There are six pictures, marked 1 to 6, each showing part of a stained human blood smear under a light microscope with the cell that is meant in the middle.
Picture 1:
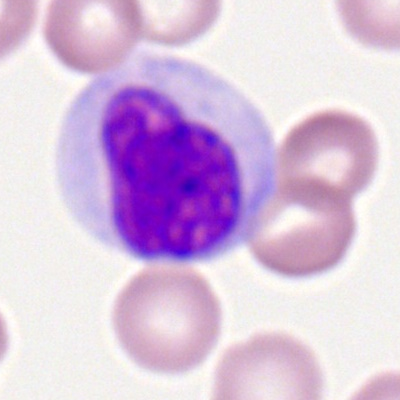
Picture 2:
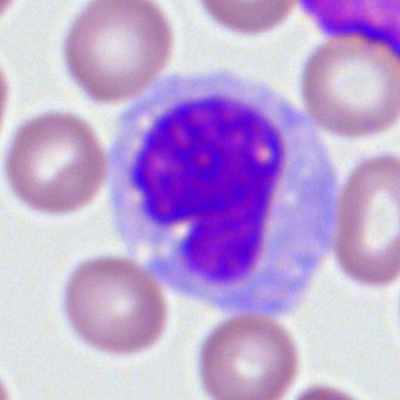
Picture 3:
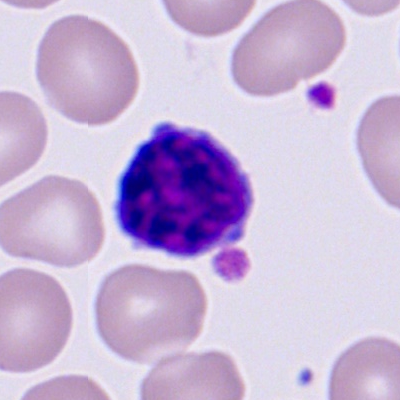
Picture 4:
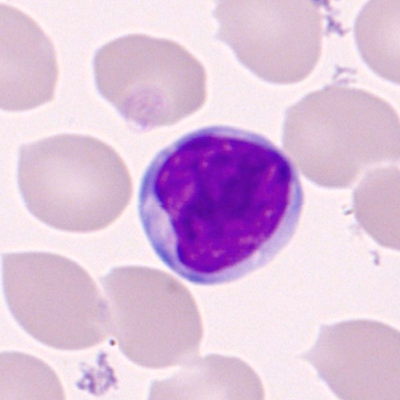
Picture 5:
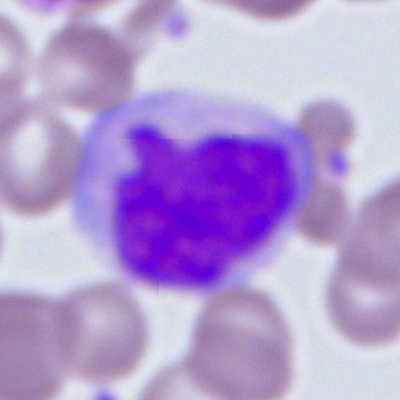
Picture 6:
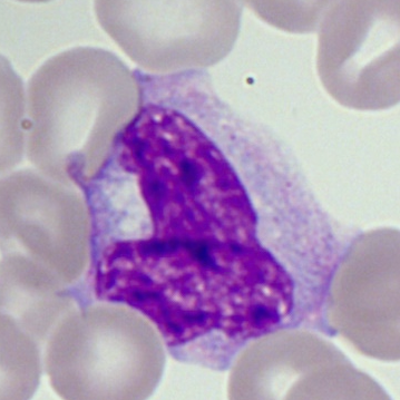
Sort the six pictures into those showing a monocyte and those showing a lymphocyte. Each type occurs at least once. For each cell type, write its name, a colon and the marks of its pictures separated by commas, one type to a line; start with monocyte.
monocyte: 1, 2, 5, 6
lymphocyte: 3, 4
